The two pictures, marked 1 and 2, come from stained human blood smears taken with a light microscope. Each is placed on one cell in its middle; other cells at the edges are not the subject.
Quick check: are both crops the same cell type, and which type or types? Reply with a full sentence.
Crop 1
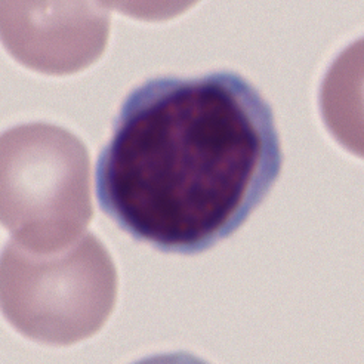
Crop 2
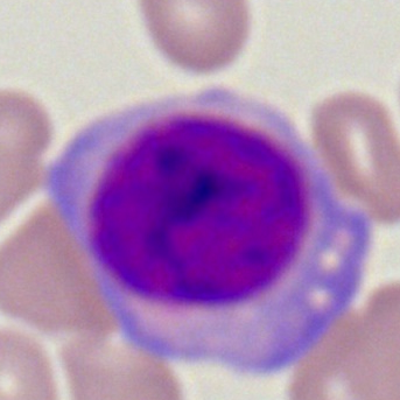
No, crop 1 and crop 2 show a lymphocyte and a monocyte respectively.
